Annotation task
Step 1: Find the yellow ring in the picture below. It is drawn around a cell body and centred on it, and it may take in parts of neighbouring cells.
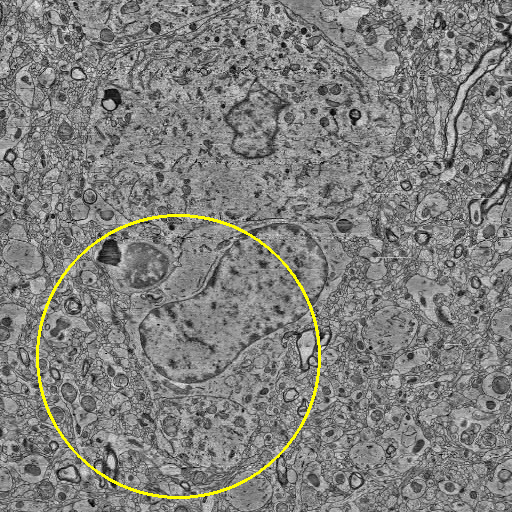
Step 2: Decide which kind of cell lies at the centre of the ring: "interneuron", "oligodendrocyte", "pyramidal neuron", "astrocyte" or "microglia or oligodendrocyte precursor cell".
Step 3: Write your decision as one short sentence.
The kind of cell at the ring's centre is a microglial cell or oligodendrocyte precursor cell.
